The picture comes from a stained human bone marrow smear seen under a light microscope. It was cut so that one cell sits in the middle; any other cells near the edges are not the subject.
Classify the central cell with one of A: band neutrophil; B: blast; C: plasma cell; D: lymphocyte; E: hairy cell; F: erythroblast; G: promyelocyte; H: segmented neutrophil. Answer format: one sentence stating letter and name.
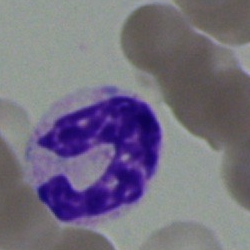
The cell placed in the middle is a band neutrophil; option A is correct.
